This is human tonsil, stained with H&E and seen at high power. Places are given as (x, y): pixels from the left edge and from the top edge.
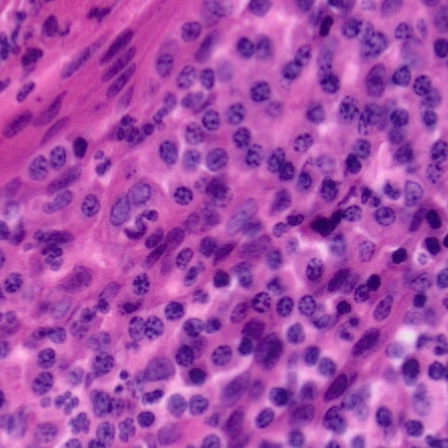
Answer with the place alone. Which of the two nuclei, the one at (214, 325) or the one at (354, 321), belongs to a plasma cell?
(214, 325)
